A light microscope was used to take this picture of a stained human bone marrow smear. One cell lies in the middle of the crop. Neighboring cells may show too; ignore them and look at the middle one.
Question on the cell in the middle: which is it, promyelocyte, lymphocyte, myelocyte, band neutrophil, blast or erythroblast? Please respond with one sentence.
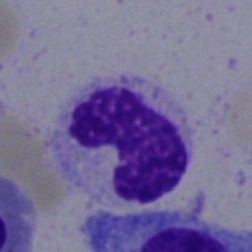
Whatever else lies nearby, the middle cell is a band neutrophil.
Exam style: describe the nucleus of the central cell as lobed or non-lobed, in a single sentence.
The nucleus amounts to one compact mass with a round, oval or kidney-shaped outline.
